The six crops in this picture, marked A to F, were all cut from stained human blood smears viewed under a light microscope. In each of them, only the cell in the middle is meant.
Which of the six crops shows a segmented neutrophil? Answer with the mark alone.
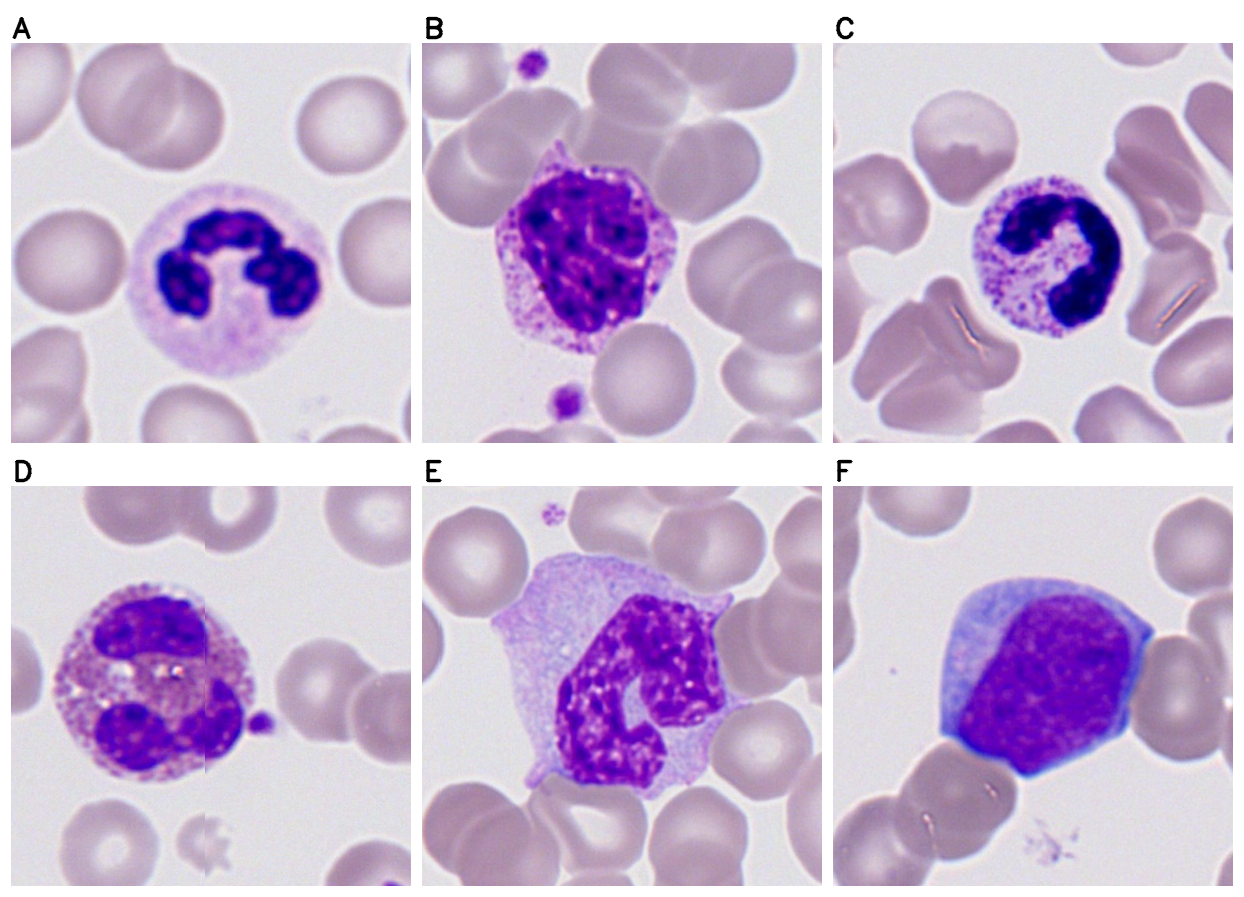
A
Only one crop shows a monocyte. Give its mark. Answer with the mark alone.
E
